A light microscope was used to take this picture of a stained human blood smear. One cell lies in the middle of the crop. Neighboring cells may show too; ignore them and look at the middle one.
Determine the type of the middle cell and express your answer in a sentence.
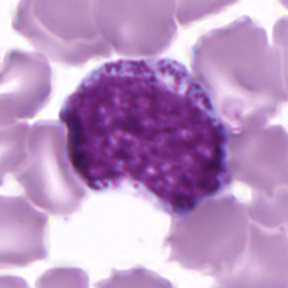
The cell nearest the centre of this crop is a myelocyte.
